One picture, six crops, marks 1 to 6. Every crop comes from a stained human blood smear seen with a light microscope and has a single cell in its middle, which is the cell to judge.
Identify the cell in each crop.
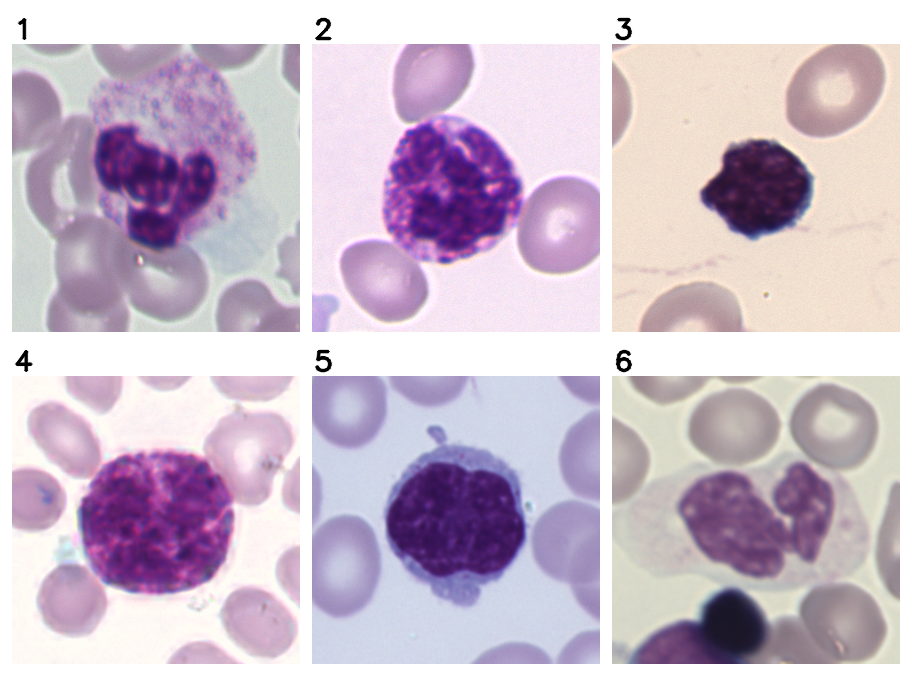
1: segmented neutrophil
2: basophil
3: typical lymphocyte
4: basophil
5: typical lymphocyte
6: segmented neutrophil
